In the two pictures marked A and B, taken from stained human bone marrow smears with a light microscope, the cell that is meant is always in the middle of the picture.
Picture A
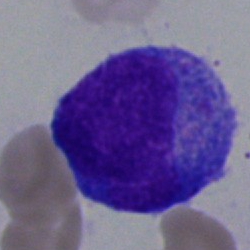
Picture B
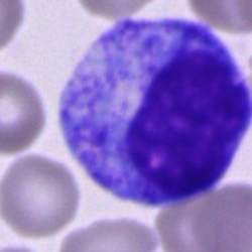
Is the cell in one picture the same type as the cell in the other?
yes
